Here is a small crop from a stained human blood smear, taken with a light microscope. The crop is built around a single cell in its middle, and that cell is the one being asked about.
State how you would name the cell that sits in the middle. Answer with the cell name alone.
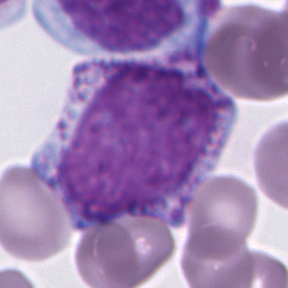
promyelocyte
